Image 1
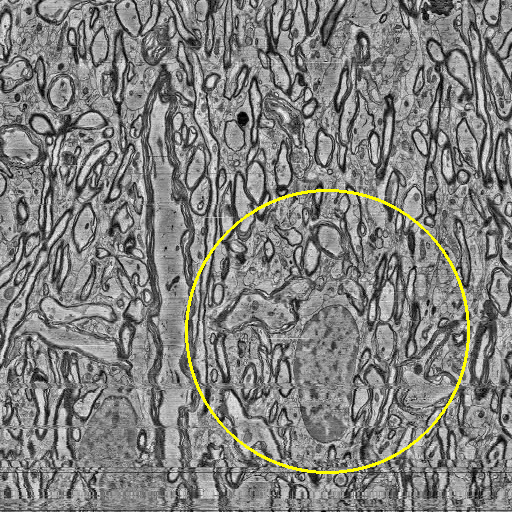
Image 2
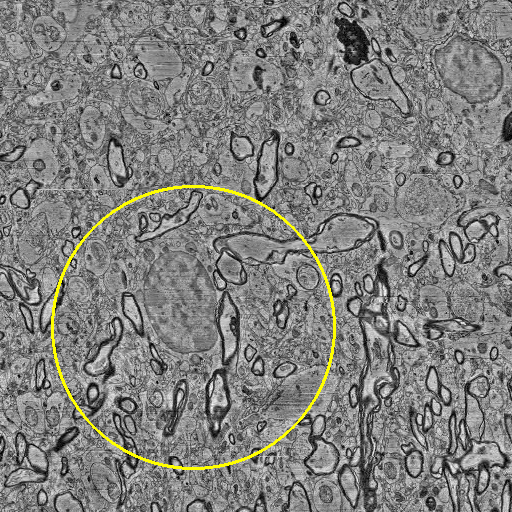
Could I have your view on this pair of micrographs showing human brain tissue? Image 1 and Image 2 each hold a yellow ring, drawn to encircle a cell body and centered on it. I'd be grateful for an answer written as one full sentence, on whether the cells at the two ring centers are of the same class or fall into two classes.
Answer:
The cells at the centers of the two rings fall into two classes.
